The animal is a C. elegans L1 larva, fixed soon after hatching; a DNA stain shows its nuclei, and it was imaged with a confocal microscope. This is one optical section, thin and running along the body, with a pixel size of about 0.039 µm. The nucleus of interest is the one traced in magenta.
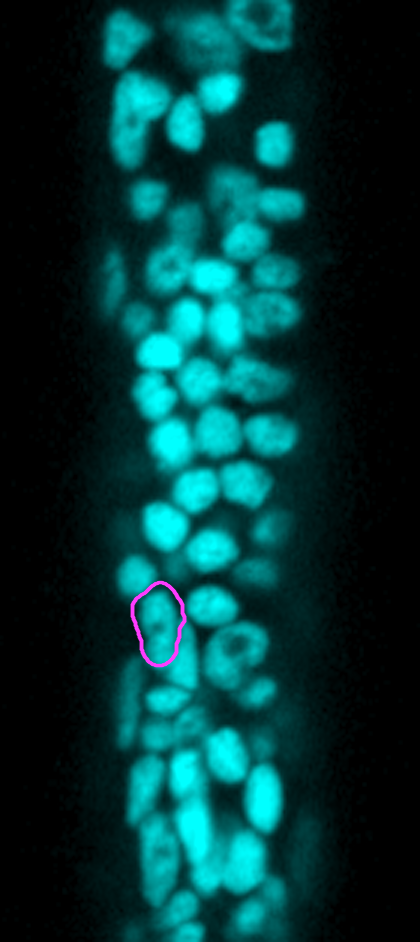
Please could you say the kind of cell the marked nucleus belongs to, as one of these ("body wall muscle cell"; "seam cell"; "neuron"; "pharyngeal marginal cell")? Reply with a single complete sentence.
The marked cell is a body wall muscle cell.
